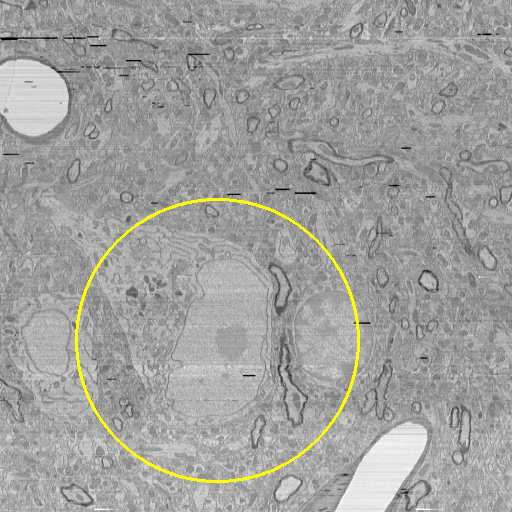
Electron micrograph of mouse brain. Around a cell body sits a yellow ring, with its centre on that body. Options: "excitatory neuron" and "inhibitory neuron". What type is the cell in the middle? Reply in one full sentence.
The cell sitting at the centre of the yellow ring is an inhibitory neuron.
